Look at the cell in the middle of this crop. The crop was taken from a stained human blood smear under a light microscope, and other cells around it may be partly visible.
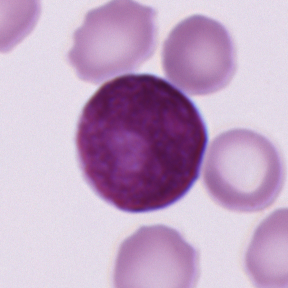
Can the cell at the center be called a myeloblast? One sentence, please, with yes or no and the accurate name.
Yes, the cell at the middle of the field is to be classed as a myeloblast.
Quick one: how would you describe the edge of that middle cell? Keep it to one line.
No projections interrupt the outline; it is smooth all the way round.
